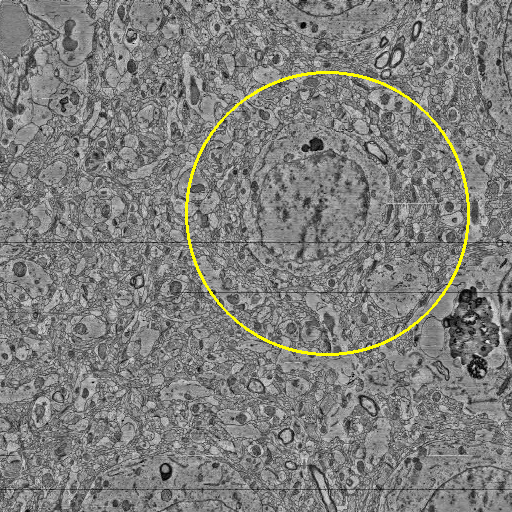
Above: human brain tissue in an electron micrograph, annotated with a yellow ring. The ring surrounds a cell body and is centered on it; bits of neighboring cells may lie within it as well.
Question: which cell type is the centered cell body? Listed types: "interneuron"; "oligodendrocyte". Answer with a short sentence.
The centered cell body is an interneuron.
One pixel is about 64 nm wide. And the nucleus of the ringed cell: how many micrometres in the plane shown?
Roughly 8 by 7 micrometres is the size of the nucleus in this plane.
